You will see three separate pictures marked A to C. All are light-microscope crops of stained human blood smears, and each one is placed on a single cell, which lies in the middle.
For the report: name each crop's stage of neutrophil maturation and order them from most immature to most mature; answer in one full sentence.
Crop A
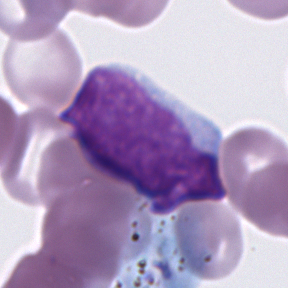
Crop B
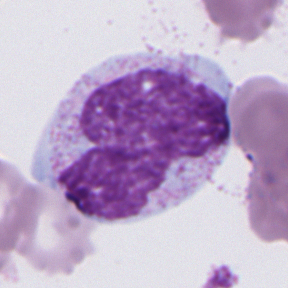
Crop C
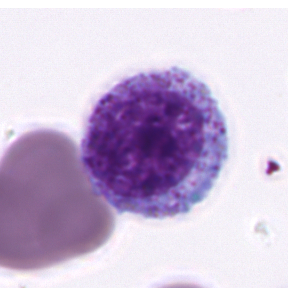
The order from least to most mature is crop A (a myeloblast), crop C (a myelocyte) and crop B (a band neutrophil).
